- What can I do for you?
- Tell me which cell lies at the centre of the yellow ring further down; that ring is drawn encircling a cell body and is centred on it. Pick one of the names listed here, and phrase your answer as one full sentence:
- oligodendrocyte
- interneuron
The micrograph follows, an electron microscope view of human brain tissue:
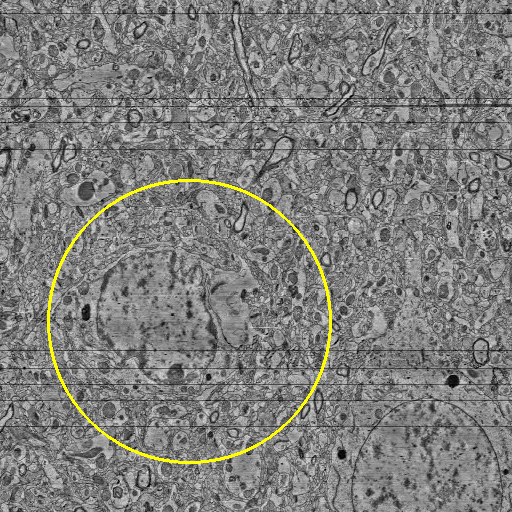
The cell whose body lies at the centre of the yellow ring is an interneuron.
